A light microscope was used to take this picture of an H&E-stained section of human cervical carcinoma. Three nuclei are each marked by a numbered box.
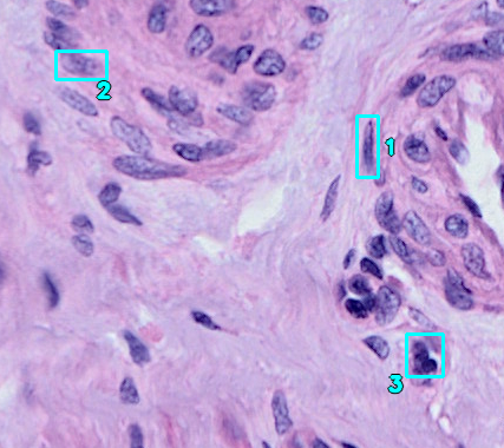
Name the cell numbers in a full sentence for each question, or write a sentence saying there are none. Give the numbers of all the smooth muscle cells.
Cells 1 and 2 in the section are typed as smooth muscle cells.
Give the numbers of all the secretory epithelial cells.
Concerning the numbered cells, no secretory epithelial cells are among them.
